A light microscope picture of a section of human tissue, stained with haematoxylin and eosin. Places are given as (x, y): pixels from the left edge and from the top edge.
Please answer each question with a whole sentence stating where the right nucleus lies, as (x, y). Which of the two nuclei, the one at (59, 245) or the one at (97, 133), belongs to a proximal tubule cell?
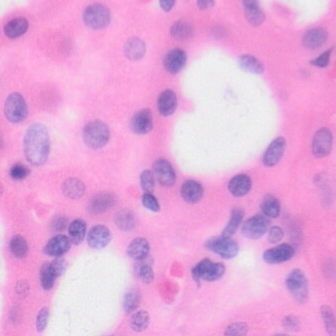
The one nucleus of the two that belongs to a proximal tubule cell is at (97, 133).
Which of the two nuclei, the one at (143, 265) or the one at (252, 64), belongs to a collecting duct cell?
The nucleus positioned at (143, 265) forms part of a collecting duct cell.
